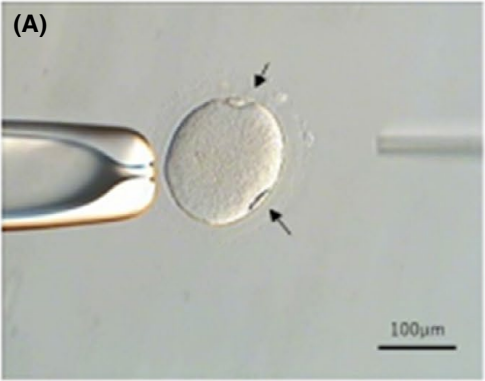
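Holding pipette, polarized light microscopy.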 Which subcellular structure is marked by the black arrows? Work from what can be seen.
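Two small oval bodies lie at the edge of the large round cell, each marked by an arrow. They are much smaller than the cell they lie against. That points to this answer: polar bodies.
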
